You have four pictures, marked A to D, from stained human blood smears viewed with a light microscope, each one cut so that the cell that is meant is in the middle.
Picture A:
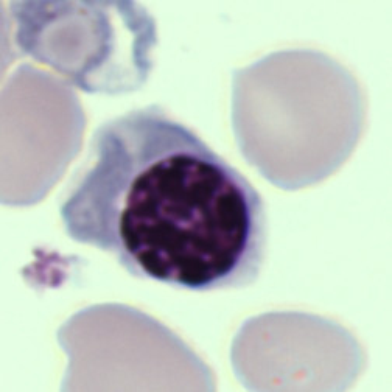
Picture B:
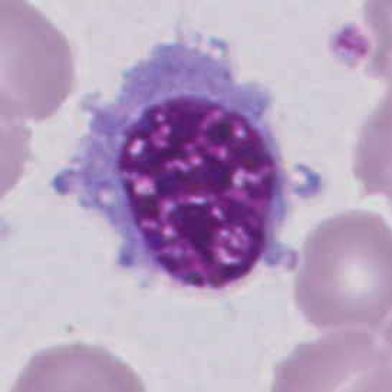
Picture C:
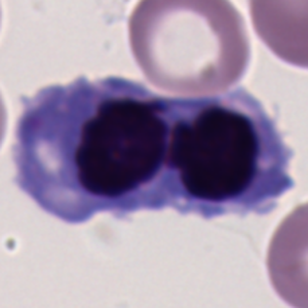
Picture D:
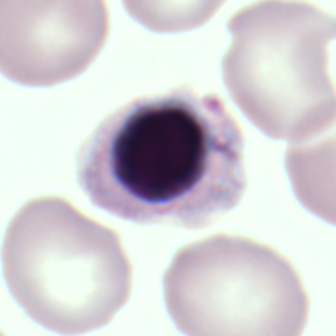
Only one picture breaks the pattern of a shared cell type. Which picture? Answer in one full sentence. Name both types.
The others show normoblasts, but picture B shows a plasma cell.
